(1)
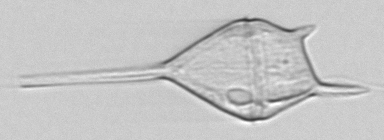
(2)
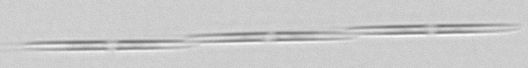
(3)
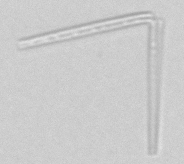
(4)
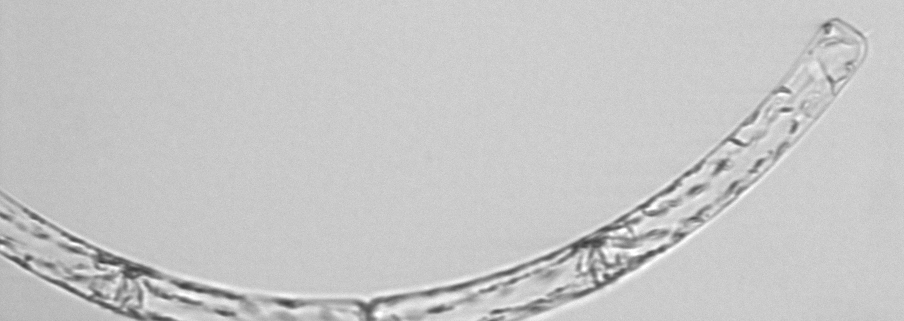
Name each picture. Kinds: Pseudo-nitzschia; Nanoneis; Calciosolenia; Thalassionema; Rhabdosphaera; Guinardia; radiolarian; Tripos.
1. Tripos
2. Pseudo-nitzschia
3. Thalassionema
4. Guinardia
